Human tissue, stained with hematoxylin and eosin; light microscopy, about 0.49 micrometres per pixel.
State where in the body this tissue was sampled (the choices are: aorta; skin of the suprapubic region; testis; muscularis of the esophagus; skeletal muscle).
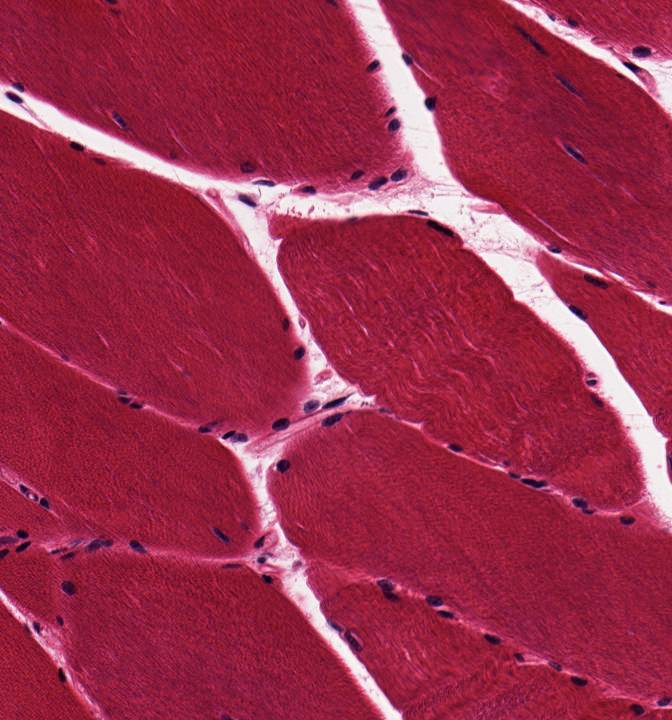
skeletal muscle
